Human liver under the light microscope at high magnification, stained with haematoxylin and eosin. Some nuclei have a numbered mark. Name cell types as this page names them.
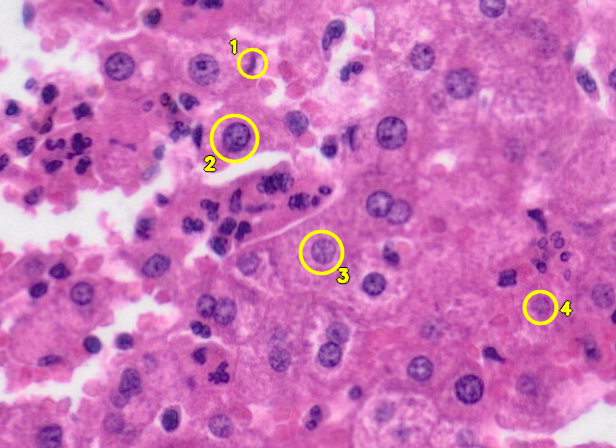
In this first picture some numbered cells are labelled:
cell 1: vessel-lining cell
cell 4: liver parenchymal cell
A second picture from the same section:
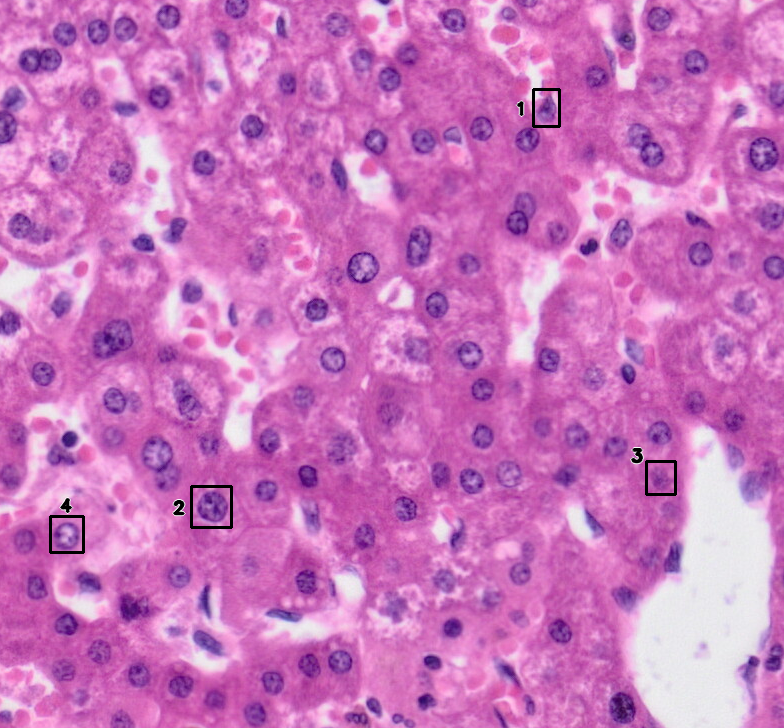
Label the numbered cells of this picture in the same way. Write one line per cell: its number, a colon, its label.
1: vessel-lining cell
2: liver parenchymal cell
3: liver parenchymal cell
4: liver parenchymal cell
